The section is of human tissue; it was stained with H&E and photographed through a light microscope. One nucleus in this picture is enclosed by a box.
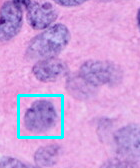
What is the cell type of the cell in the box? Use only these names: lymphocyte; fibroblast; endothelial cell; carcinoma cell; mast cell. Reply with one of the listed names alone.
carcinoma cell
